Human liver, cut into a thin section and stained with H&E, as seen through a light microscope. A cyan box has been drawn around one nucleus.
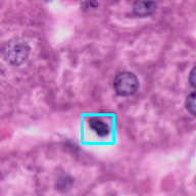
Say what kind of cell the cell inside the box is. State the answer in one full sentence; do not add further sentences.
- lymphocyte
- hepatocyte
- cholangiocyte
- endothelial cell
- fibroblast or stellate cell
What the cell inside the box represents is a lymphocyte.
